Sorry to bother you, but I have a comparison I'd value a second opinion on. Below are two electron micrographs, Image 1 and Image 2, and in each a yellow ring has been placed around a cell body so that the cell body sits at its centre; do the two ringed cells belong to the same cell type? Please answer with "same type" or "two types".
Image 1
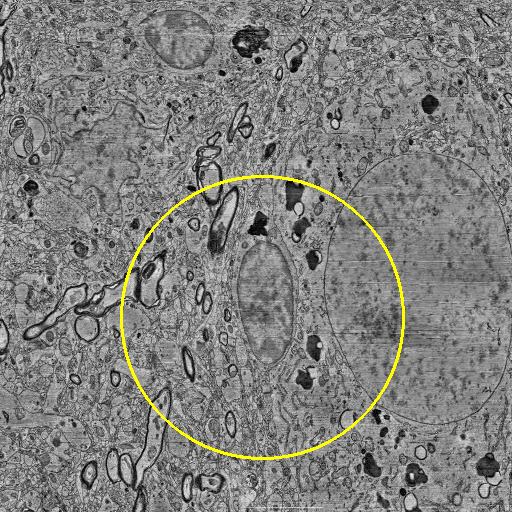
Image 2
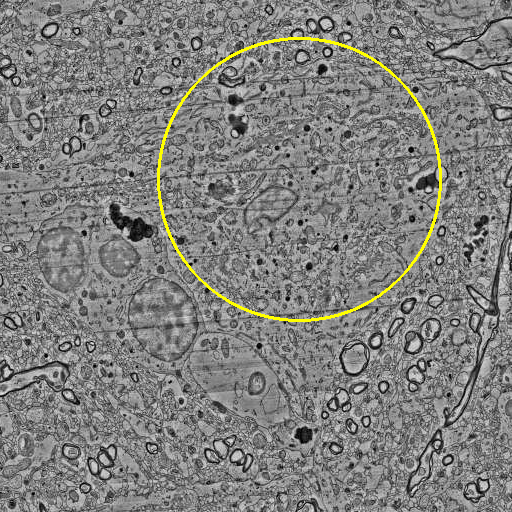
two types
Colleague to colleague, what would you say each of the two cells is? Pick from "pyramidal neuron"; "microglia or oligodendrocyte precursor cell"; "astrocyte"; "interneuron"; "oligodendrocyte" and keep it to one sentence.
The cell in the first picture is an oligodendrocyte; the second picture's cell is a pyramidal neuron.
